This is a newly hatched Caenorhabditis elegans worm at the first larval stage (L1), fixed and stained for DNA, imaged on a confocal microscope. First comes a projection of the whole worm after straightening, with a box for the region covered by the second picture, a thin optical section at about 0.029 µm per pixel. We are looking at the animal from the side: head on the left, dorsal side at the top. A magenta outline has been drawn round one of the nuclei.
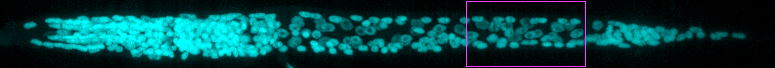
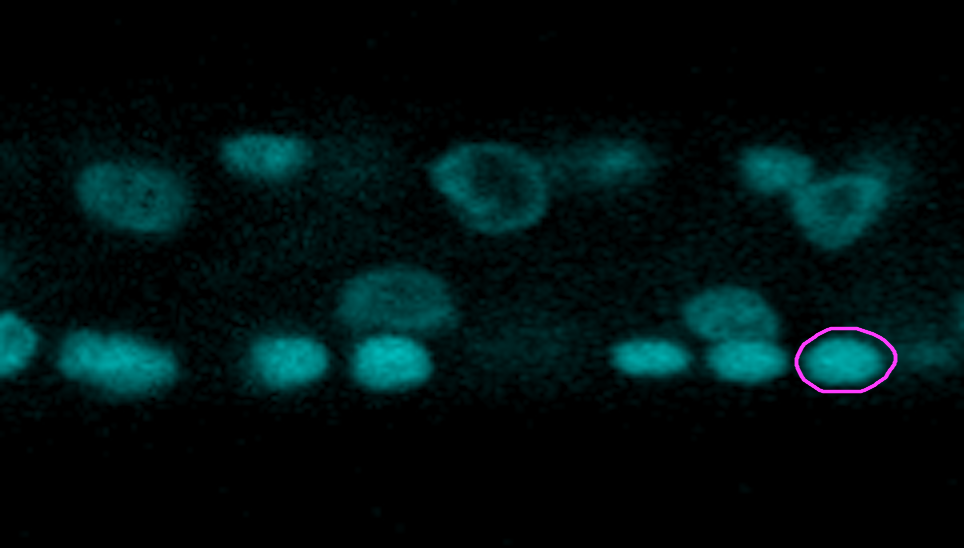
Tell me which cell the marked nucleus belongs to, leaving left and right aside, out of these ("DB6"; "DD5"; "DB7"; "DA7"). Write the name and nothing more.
DA7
